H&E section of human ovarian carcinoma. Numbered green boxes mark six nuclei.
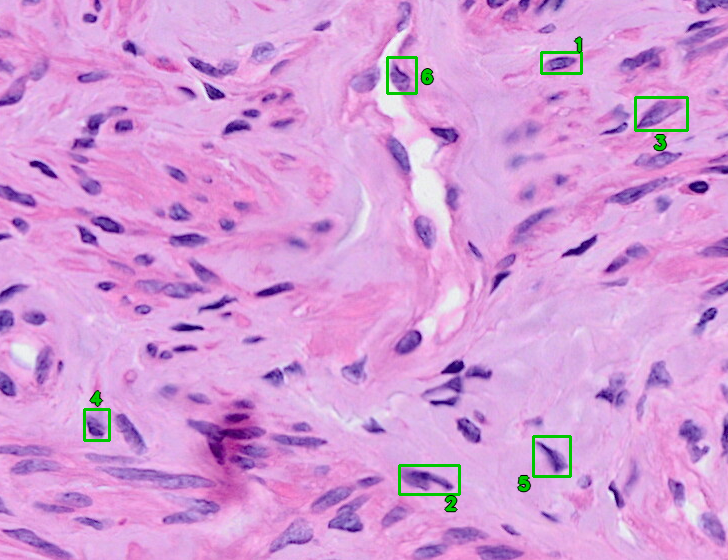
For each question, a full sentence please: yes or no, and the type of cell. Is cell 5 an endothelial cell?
No, a fibroblast, not an endothelial cell, is the cell with number 5.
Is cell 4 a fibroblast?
Yes, the number 4 belongs to a fibroblast.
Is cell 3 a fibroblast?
No, the cell denoted 3 is a smooth muscle cell rather than a fibroblast.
